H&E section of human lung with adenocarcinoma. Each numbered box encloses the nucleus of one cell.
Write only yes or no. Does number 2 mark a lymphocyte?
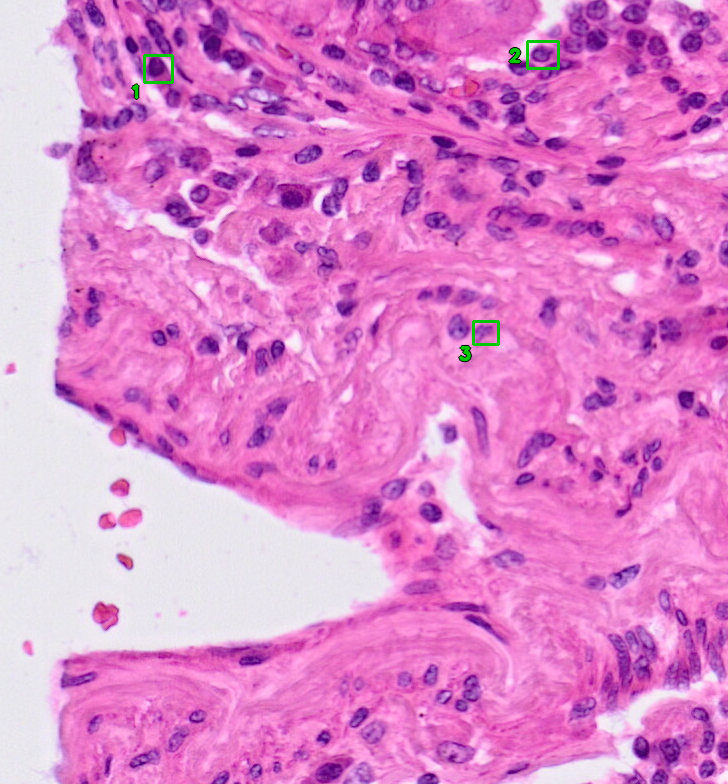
yes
